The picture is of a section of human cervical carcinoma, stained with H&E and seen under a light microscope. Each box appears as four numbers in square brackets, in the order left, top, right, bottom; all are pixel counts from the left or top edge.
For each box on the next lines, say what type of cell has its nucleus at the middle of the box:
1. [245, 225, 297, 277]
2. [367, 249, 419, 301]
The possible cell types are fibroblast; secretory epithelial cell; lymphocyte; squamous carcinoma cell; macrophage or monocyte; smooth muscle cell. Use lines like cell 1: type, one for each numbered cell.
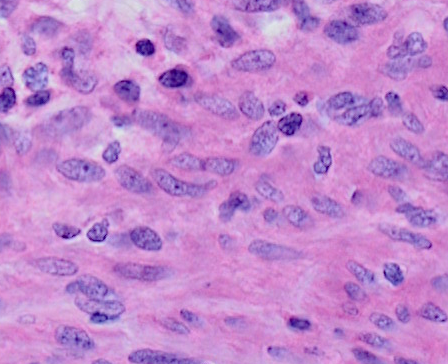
cell 1: smooth muscle cell
cell 2: lymphocyte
